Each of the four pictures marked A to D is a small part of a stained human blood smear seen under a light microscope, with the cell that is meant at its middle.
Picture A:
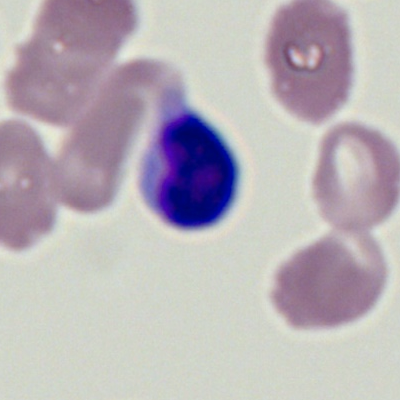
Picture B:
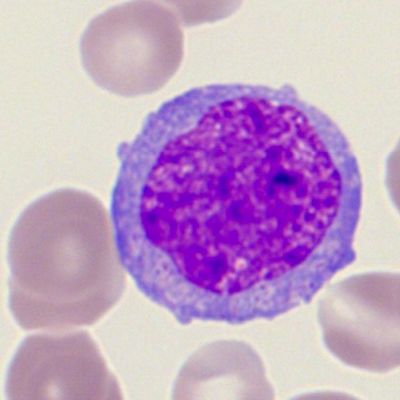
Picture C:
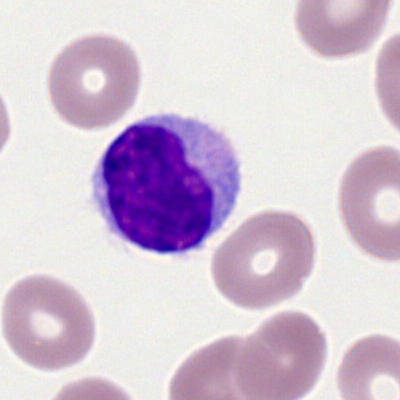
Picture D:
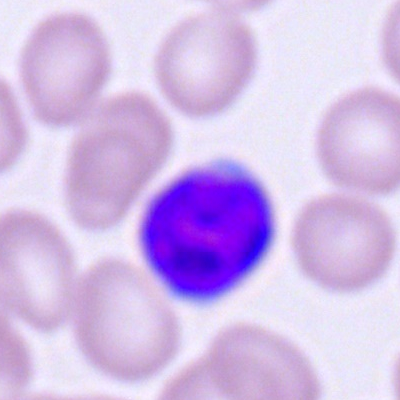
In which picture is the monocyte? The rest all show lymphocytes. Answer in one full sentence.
The monocyte is the one in picture B.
